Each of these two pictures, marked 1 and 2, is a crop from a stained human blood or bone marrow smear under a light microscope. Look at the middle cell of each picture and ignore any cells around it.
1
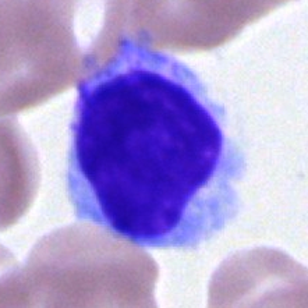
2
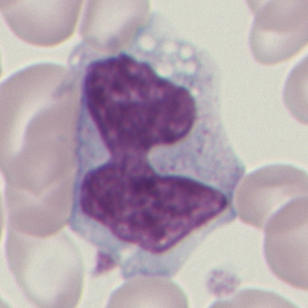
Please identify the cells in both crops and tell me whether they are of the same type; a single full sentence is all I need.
No, a lymphocyte is what crop 1 shows, and a monocyte is what crop 2 shows.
